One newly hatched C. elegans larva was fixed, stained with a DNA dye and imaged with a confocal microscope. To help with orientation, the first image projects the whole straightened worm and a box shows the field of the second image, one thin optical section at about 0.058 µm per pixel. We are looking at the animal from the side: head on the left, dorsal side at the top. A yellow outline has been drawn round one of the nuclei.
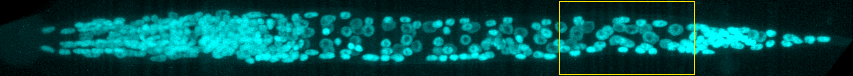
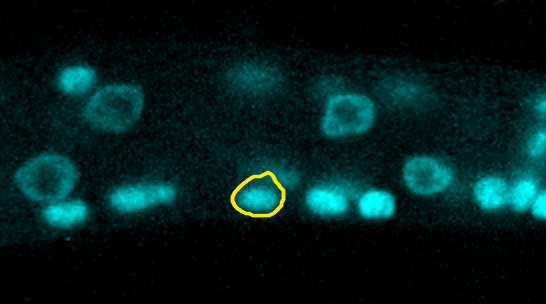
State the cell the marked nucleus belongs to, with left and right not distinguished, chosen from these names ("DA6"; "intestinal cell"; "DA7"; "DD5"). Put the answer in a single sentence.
This is the nucleus of DD5, a neuron.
